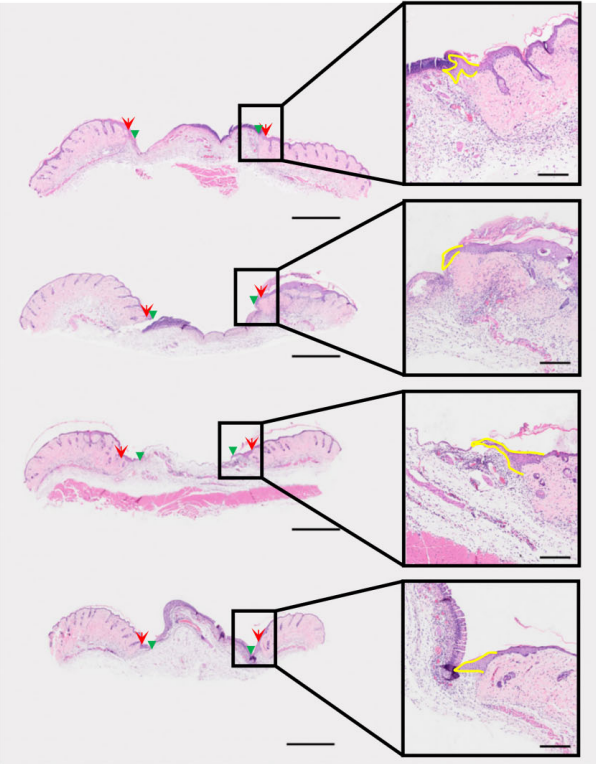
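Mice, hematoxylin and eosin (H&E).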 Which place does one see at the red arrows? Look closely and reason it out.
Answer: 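Two red arrows in each section flank a central region with thin or missing surface epithelium. On the outer side of each arrow the skin is thick with dark-purple epidermis and hair follicles. On this evidence: wound edges.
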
